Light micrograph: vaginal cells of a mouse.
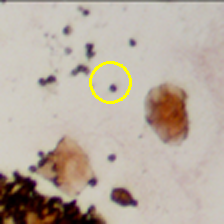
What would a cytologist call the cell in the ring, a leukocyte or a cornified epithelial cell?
A cytologist would call it a leukocyte.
